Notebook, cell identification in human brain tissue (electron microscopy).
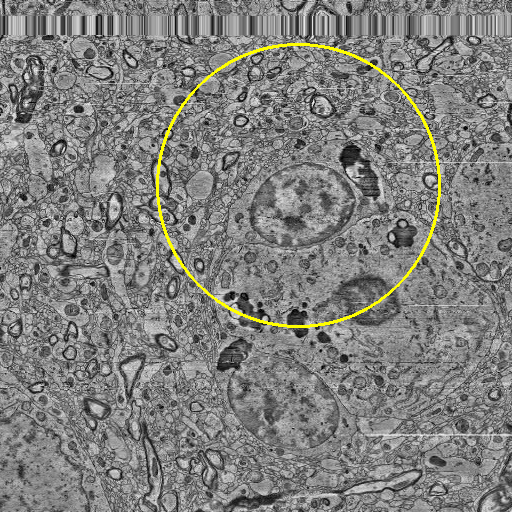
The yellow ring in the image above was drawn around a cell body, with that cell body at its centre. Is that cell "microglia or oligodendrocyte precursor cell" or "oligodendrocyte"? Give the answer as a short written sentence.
The cell in the ring is an oligodendrocyte.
